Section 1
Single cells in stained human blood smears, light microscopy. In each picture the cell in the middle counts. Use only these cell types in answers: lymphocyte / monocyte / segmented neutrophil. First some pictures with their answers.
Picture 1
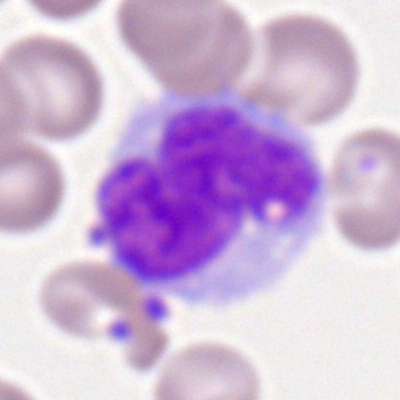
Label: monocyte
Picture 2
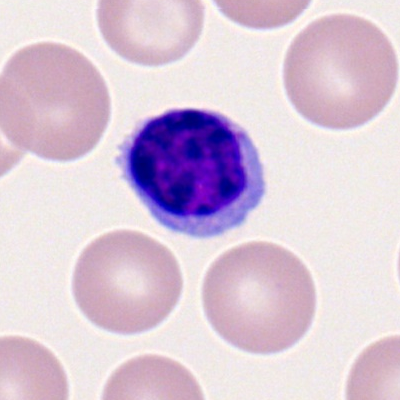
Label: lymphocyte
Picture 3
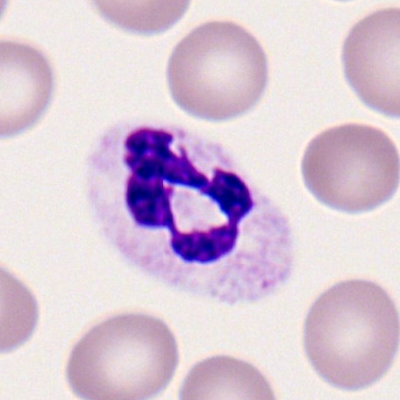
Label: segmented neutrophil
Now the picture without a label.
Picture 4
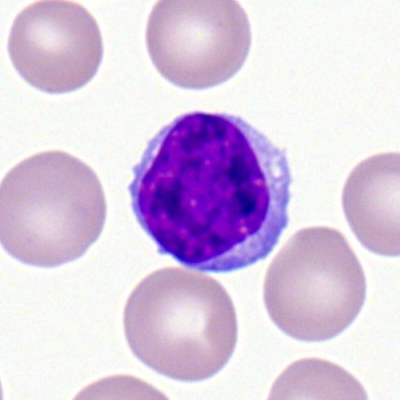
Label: lymphocyte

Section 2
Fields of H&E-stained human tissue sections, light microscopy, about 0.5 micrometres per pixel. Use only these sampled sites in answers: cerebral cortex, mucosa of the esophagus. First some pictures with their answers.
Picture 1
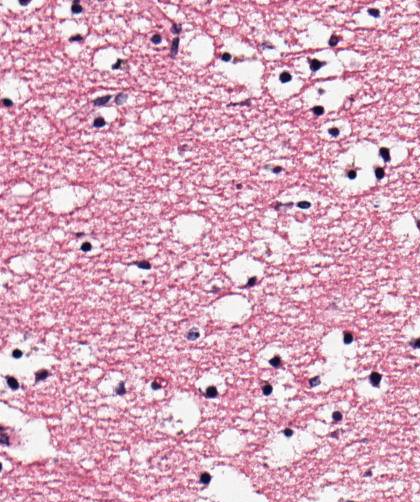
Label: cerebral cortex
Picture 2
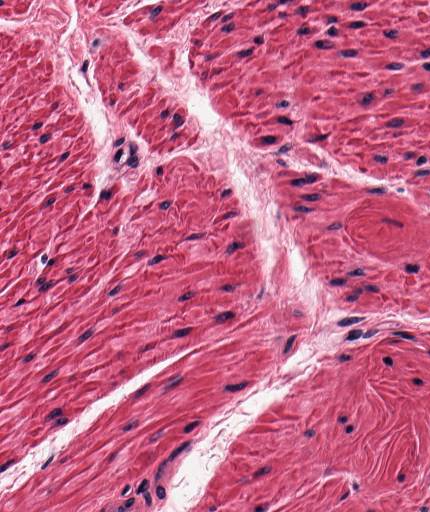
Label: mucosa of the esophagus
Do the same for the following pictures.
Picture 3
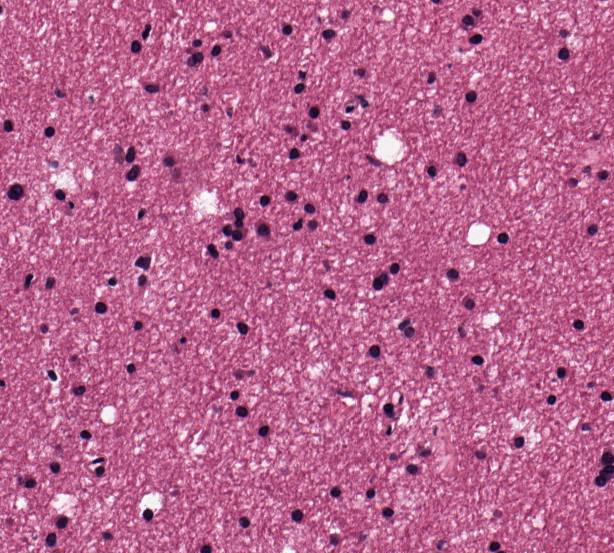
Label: cerebral cortex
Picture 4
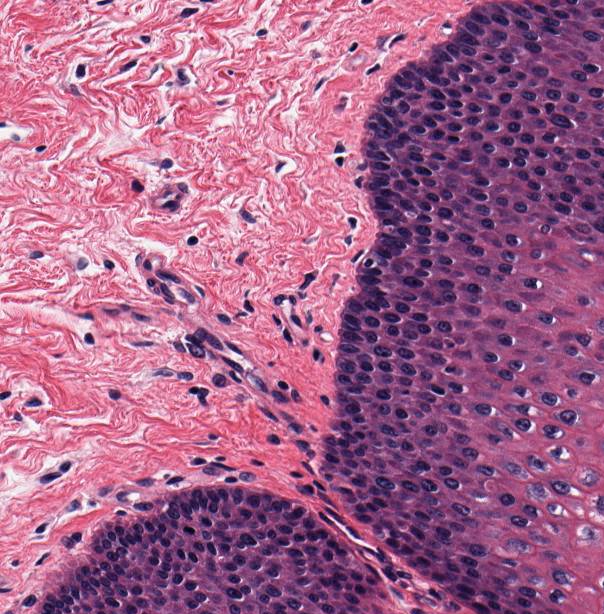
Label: mucosa of the esophagus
